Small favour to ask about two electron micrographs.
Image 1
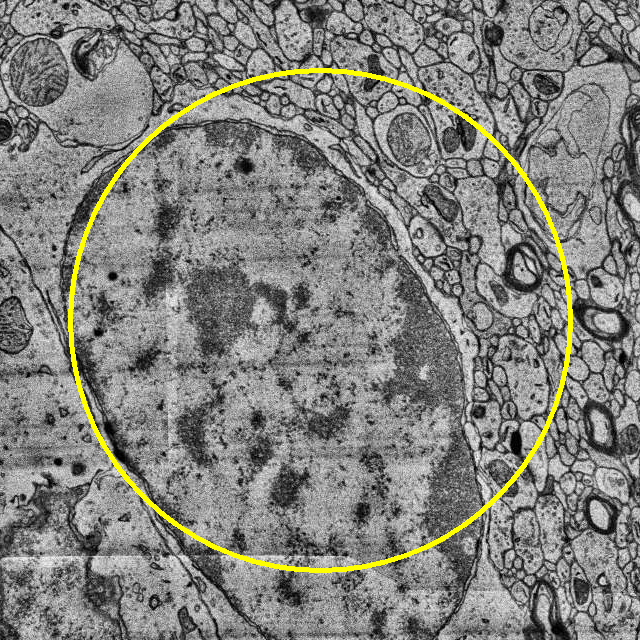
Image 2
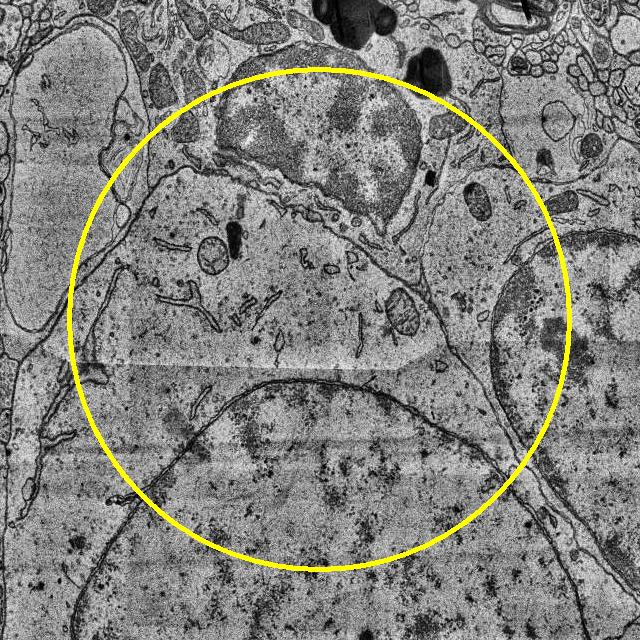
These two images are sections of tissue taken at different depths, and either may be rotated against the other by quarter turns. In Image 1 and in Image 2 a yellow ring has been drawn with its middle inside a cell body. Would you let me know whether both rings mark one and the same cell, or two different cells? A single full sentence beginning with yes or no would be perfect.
No, the pair of rings marks a pair of different cells.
